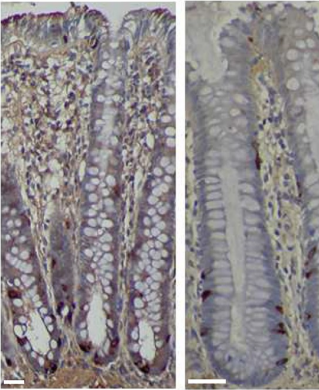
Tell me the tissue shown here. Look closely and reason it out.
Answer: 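Long tubular glands run from bottom to top of each image. The glands are lined by columnar epithelium with many pale, rounded goblet-like vacuoles. Loose stroma with scattered nuclei lies between the glands.
Colonic crypts.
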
